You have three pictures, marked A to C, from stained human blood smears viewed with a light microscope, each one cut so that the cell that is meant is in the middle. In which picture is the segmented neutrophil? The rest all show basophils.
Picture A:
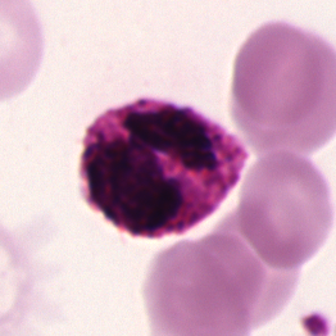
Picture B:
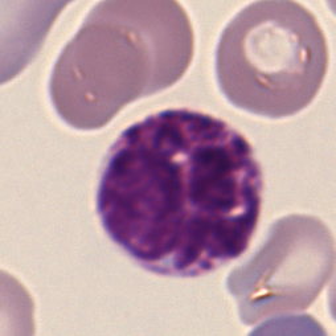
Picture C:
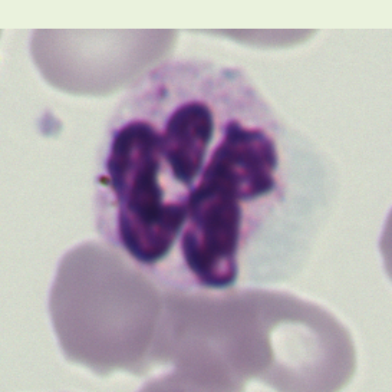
C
